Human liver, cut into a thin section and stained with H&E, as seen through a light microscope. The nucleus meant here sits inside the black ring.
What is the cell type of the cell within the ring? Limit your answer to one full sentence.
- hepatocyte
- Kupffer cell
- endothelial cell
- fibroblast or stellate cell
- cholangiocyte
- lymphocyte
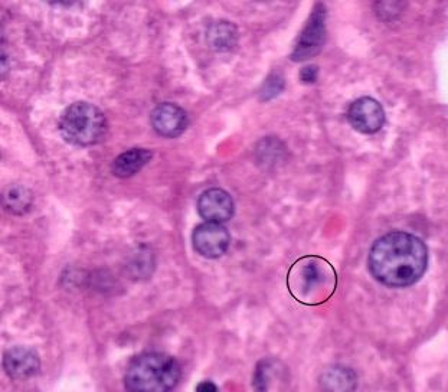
In cellular terms, the cell within the ring is an endothelial cell.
